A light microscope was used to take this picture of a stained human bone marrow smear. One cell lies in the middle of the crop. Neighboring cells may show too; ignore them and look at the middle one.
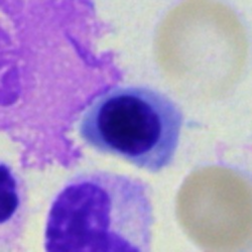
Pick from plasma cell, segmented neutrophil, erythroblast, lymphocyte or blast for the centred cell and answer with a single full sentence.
Looking at the middle of the crop, the cell there is an erythroblast.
